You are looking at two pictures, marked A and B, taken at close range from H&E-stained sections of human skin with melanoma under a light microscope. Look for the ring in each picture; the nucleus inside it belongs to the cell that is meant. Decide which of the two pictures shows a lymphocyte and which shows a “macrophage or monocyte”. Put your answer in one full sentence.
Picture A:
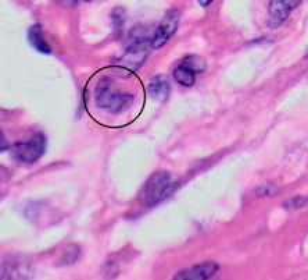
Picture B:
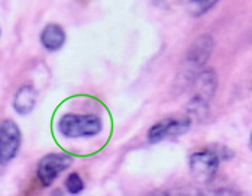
Picture A is of a “macrophage or monocyte”, and picture B is of a lymphocyte.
